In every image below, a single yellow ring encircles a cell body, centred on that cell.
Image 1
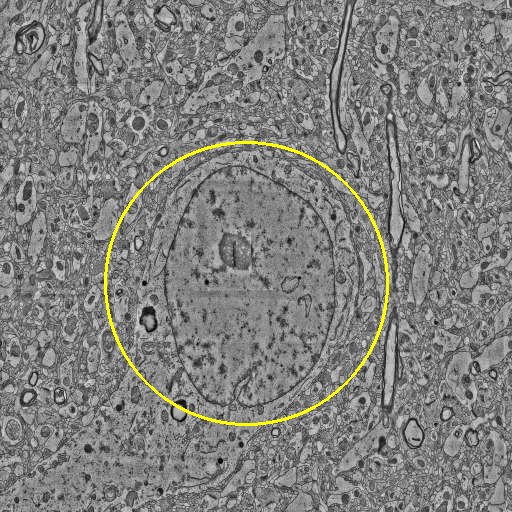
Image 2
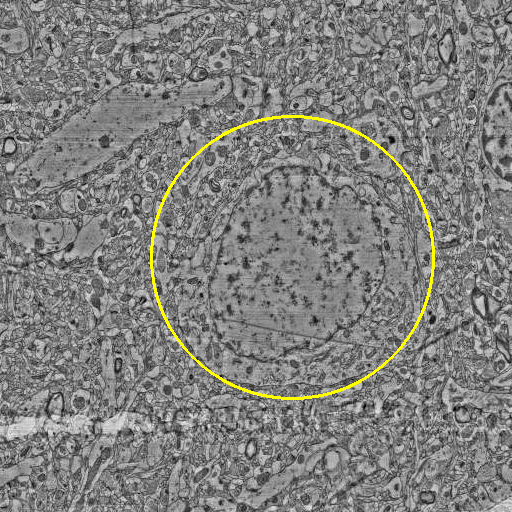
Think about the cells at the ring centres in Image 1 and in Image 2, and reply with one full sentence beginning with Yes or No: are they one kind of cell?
No, the cells centred in the rings of Image 1 and Image 2 are two kinds of cell.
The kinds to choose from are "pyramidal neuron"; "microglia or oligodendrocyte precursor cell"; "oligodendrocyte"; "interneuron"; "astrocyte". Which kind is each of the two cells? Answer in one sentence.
Of the two, the first cell is a pyramidal neuron and the second cell is an interneuron.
